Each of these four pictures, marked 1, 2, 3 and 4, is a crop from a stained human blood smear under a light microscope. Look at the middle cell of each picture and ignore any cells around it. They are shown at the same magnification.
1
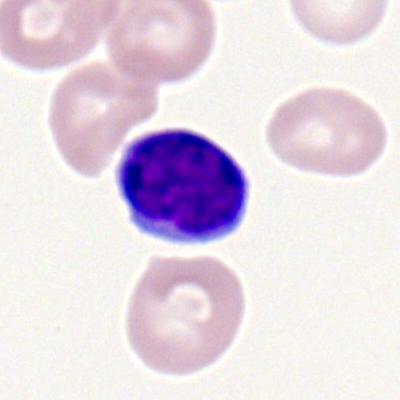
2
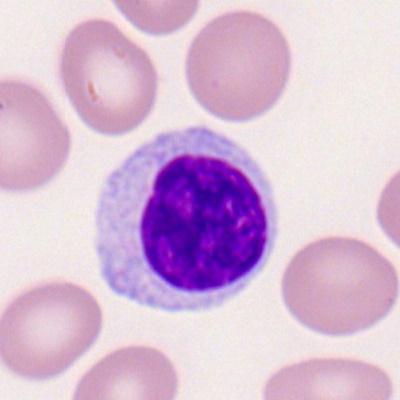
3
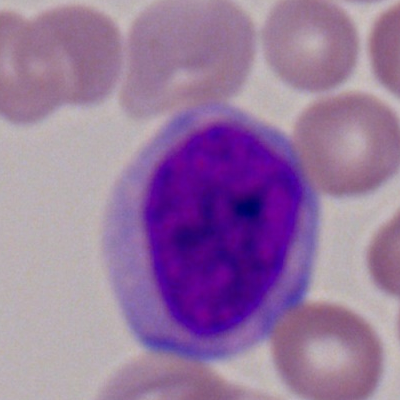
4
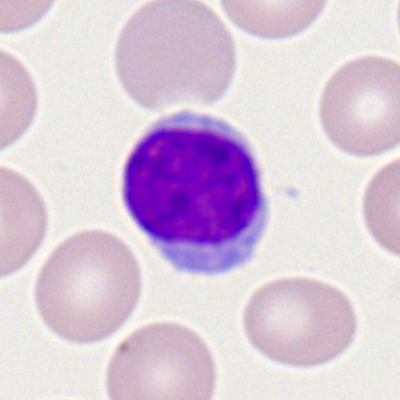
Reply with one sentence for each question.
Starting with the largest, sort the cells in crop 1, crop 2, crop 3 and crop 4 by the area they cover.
Largest first: 3, 2, 4, 1.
